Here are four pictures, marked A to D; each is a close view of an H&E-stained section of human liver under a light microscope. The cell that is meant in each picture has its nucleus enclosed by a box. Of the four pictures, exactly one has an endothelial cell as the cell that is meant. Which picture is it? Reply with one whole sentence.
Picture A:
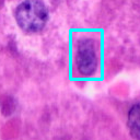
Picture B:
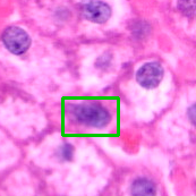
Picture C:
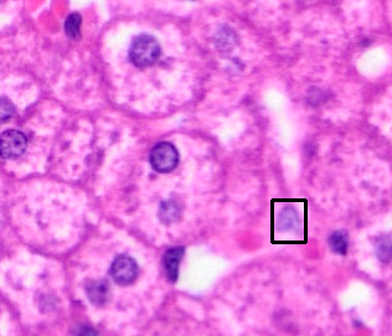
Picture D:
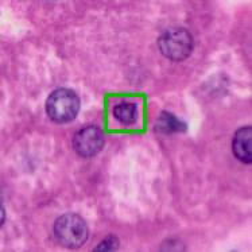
Picture B shows the endothelial cell.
